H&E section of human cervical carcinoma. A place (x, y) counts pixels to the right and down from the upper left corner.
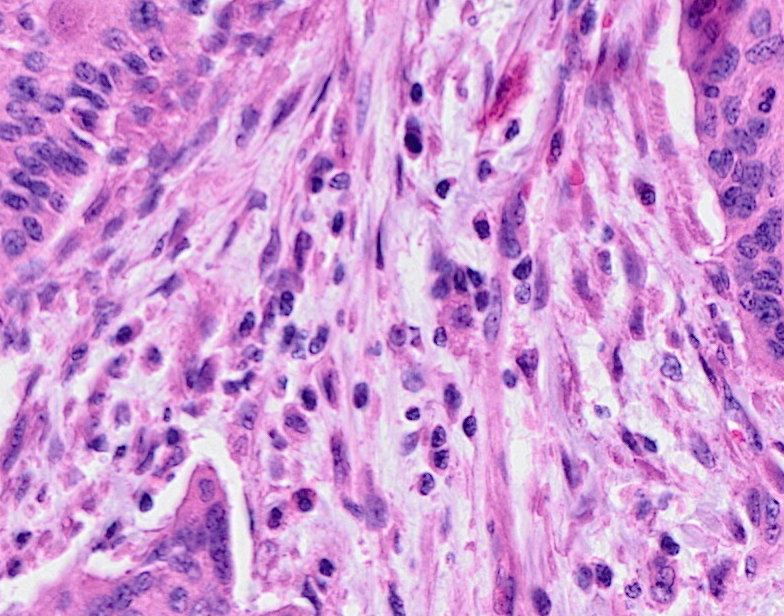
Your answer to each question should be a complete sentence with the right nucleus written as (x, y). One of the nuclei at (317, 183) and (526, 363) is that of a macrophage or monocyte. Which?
The nucleus at position (526, 363) belongs to a macrophage or monocyte.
